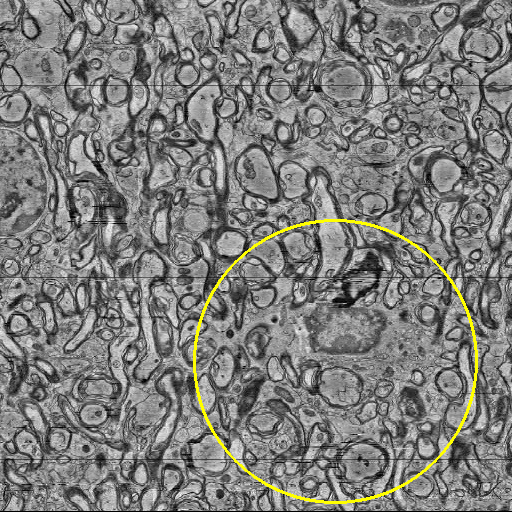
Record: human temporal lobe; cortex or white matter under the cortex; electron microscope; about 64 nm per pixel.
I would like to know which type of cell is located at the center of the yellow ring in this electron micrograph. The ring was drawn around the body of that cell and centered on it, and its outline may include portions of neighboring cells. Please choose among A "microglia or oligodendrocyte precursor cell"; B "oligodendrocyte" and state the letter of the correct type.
B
